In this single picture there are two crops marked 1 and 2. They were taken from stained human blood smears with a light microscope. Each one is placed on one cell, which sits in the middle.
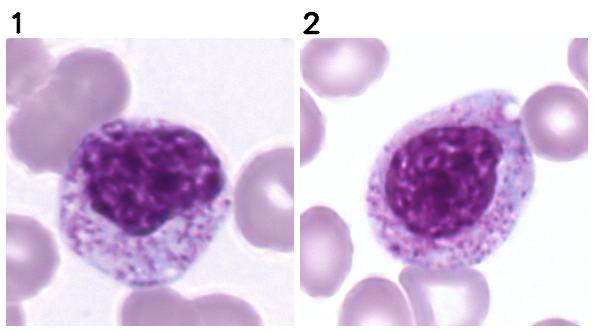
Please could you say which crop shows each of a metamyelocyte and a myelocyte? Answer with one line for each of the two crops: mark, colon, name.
1: metamyelocyte
2: myelocyte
